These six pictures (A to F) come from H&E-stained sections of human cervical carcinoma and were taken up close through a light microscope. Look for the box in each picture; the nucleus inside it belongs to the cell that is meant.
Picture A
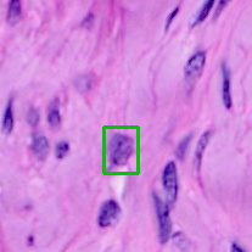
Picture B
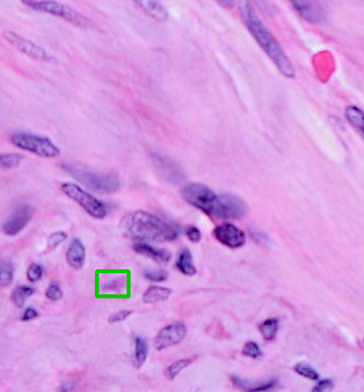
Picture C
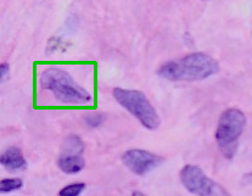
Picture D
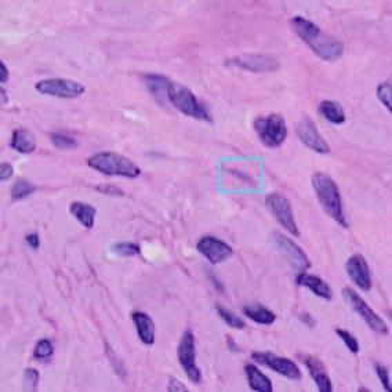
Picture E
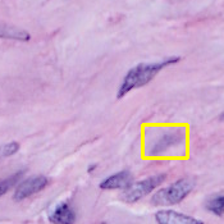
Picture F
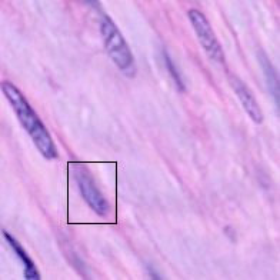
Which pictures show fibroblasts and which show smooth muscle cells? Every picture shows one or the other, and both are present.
A: fibroblast
B: smooth muscle cell
C: fibroblast
D: fibroblast
E: smooth muscle cell
F: smooth muscle cell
